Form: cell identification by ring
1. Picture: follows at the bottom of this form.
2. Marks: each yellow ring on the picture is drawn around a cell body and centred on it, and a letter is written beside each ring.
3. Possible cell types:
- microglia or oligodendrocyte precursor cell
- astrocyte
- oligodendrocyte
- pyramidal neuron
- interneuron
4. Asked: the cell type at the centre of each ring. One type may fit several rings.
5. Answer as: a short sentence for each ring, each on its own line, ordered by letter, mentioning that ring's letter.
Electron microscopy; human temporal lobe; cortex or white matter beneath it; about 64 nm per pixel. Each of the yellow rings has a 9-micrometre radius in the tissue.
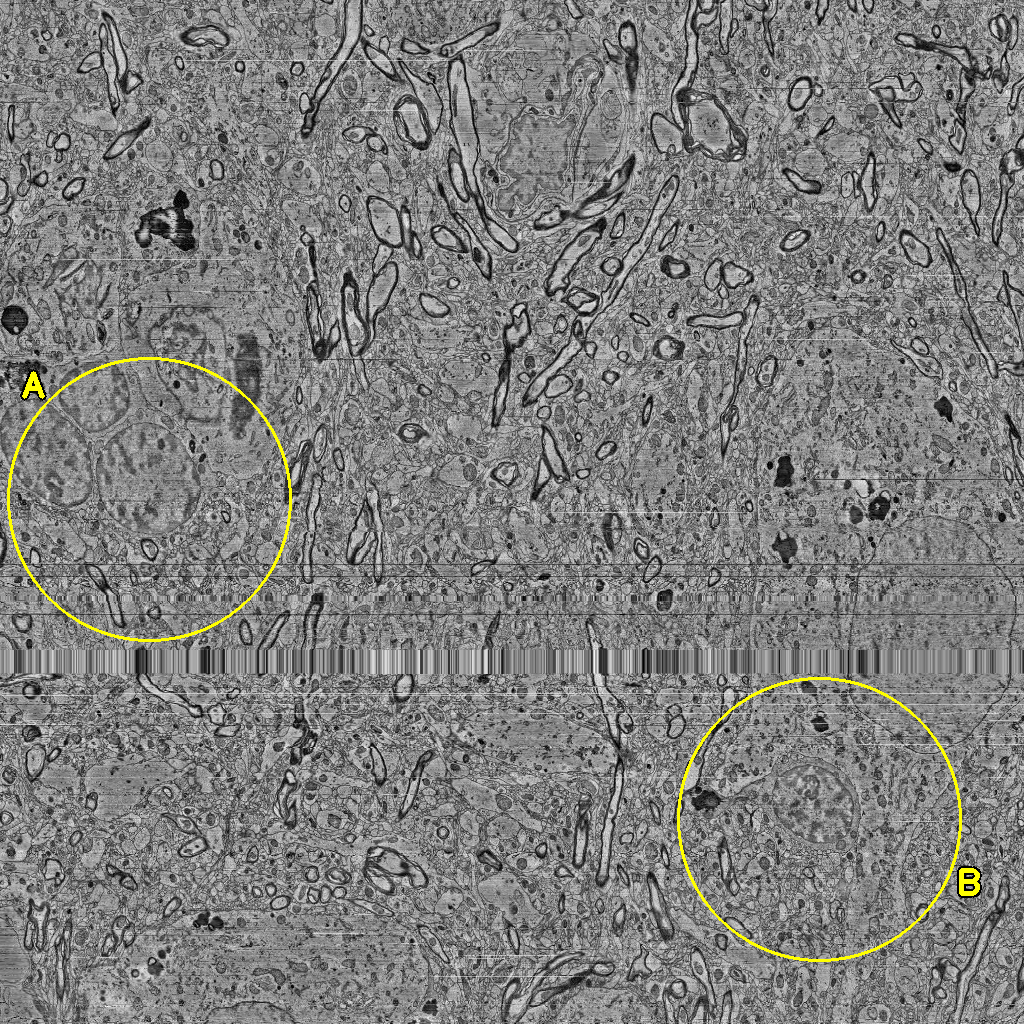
The cell at ring A's centre is an oligodendrocyte.
The cell at ring B's centre is an oligodendrocyte.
